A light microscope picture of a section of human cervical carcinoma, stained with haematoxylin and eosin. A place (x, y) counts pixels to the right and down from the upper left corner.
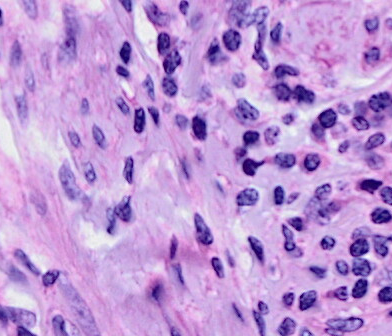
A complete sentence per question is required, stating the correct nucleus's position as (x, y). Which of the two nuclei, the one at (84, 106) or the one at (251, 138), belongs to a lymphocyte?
The nucleus at (251, 138) is the member of the pair belonging to a lymphocyte.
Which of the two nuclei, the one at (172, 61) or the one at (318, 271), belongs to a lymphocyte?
Which one belongs to a lymphocyte? The nucleus at (172, 61) does.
